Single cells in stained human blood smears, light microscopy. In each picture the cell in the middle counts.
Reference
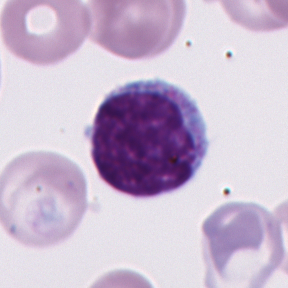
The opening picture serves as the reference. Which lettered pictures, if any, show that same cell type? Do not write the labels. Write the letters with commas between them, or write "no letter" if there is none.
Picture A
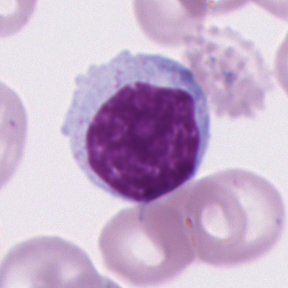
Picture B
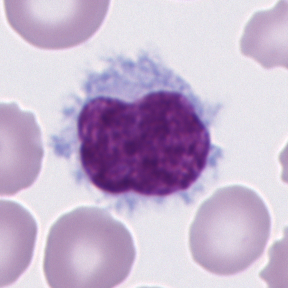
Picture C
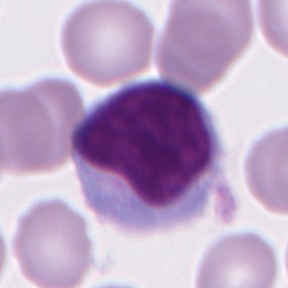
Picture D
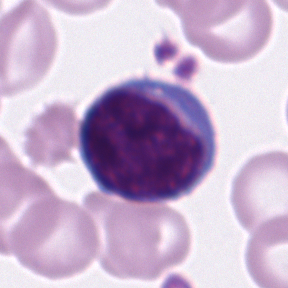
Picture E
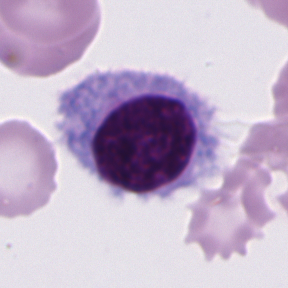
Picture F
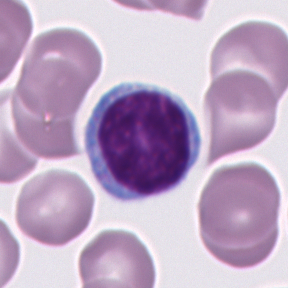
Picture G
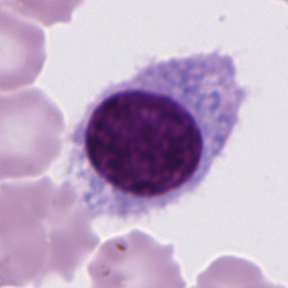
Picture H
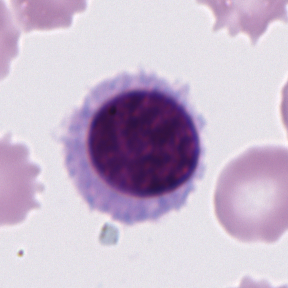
A, C, D, F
